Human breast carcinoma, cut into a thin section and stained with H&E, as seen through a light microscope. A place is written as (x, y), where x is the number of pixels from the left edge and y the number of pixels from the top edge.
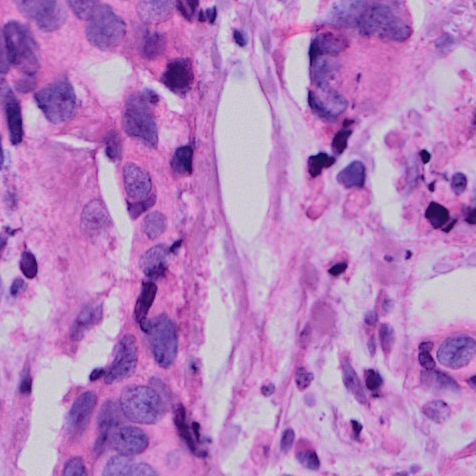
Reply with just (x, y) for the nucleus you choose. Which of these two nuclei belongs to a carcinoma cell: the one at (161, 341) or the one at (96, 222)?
(161, 341)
